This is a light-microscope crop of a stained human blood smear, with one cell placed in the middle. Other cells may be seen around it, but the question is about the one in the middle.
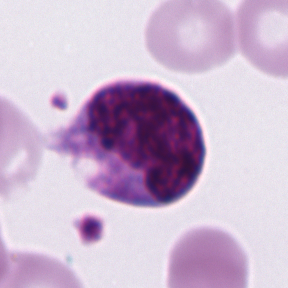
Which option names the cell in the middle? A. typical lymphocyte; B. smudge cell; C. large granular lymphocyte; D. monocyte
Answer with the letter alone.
D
